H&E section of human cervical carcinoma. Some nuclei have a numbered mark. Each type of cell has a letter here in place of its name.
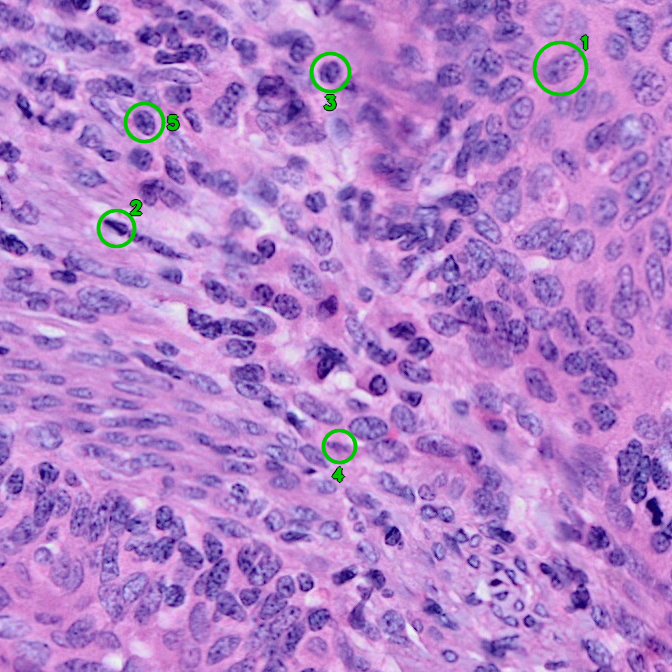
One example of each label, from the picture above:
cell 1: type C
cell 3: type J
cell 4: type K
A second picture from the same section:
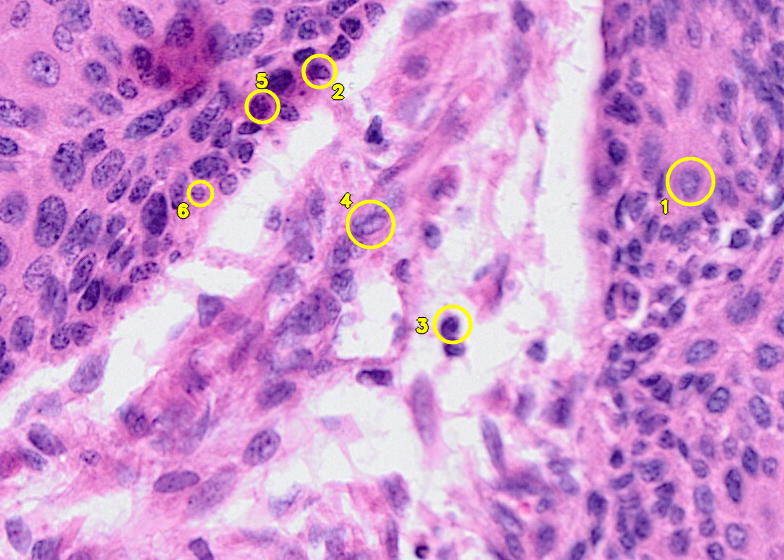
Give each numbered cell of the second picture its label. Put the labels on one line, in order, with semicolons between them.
type C; type C; type J; type K; type C; type C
